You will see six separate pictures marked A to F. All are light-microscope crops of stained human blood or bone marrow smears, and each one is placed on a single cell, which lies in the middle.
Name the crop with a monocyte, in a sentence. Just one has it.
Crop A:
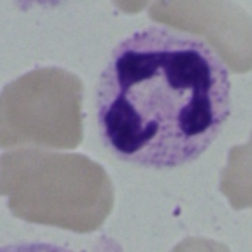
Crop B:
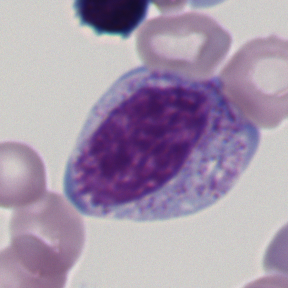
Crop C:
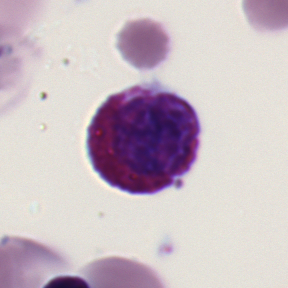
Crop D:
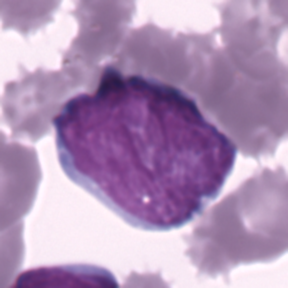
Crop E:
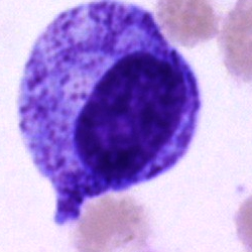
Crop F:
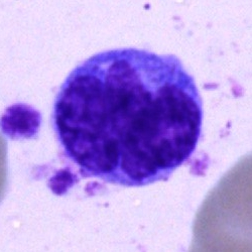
Here the crop that shows a monocyte is crop F.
